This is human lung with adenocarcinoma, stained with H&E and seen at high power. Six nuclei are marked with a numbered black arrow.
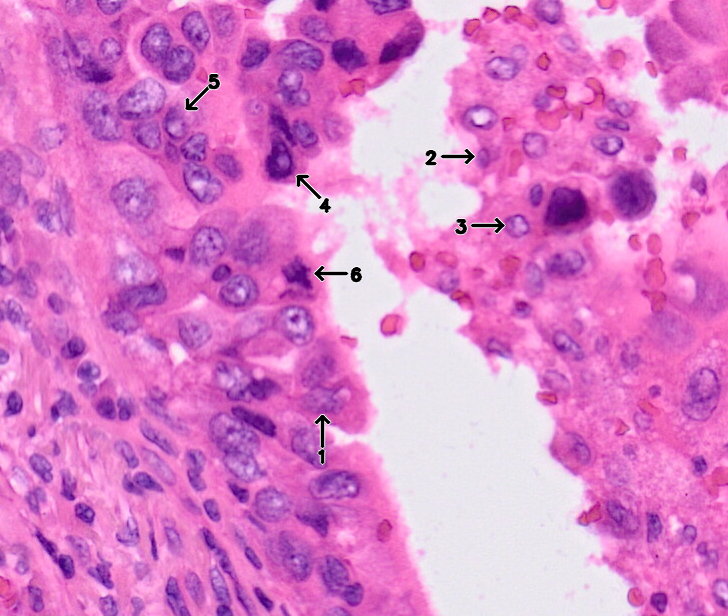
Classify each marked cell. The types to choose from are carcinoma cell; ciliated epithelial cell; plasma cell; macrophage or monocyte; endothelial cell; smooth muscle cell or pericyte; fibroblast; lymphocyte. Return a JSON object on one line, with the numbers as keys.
{"1": "carcinoma cell", "2": "macrophage or monocyte", "3": "macrophage or monocyte", "4": "carcinoma cell", "5": "carcinoma cell", "6": "carcinoma cell"}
